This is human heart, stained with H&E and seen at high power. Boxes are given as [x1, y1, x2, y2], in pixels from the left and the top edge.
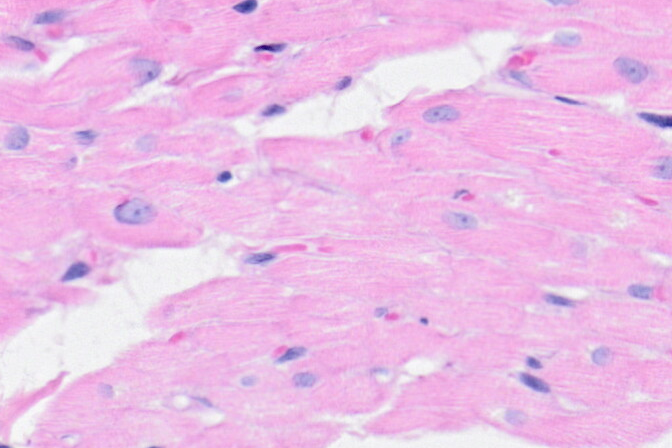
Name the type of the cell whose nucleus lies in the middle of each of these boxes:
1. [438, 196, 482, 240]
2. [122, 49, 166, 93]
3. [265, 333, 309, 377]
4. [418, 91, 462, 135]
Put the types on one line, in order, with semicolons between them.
cardiomyocyte; cardiomyocyte; endothelial cell; cardiomyocyte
